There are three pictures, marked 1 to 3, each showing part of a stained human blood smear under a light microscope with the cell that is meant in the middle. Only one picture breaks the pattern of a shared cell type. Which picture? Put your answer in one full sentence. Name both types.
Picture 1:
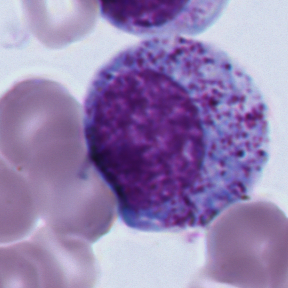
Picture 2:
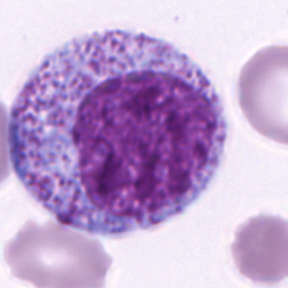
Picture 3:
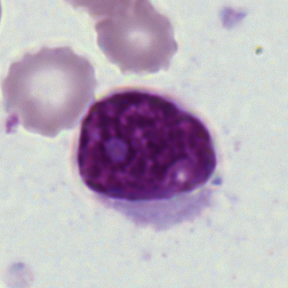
Picture 3 is the odd one out: it shows a plasma cell, while the others show promyelocytes.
